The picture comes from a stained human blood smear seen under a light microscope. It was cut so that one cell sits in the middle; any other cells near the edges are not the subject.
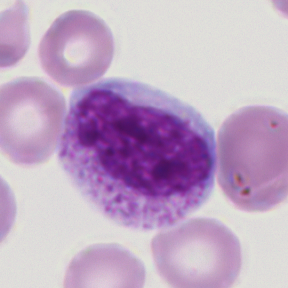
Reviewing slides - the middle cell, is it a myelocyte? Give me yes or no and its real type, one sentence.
No, a metamyelocyte, not a myelocyte, is what sits in the centre of the crop.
